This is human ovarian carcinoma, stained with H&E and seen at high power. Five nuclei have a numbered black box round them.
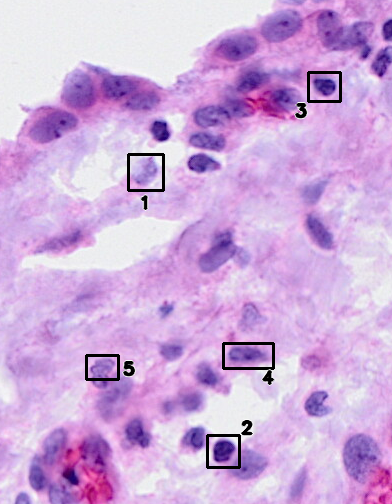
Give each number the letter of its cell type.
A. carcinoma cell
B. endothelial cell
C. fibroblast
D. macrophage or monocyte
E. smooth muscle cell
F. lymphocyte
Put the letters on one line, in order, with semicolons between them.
C; F; F; D; D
